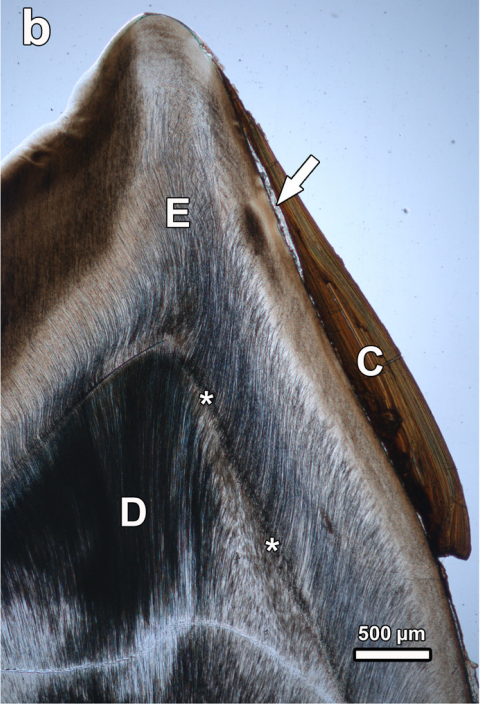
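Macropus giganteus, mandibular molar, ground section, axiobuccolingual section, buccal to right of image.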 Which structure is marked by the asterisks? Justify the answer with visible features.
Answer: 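Enamel-dentine junction. The asterisks sit on a curved line separating the outer crown layer from the darker inner tissue.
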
